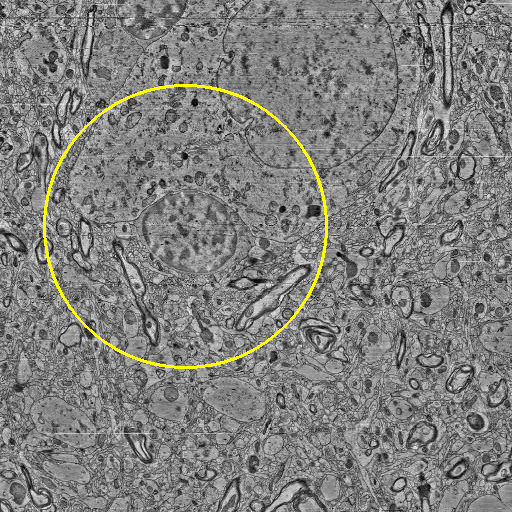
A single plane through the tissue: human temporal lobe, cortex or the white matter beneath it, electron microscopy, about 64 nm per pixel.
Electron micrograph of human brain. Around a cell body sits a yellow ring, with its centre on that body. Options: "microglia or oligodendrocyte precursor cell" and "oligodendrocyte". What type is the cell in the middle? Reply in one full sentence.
The cell sitting at the centre of the yellow ring is an oligodendrocyte.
